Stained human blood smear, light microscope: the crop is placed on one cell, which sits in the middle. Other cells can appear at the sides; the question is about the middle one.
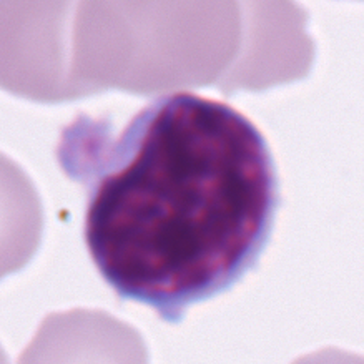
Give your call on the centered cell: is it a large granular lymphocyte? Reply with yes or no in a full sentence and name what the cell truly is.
No, in this crop the central cell is a typical lymphocyte instead of a large granular lymphocyte.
